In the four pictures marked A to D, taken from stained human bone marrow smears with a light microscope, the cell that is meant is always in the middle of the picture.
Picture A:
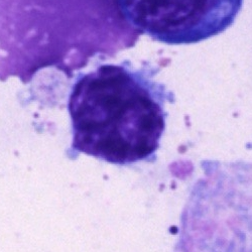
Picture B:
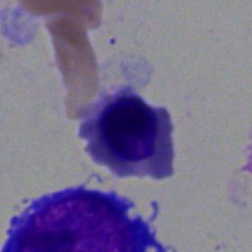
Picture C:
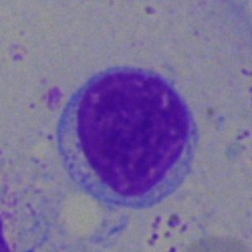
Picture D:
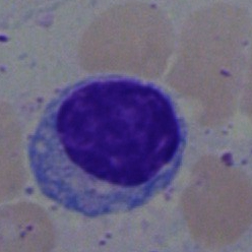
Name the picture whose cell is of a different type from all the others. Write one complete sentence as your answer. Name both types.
All pictures except B show lymphocytes; picture B shows an erythroblast.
